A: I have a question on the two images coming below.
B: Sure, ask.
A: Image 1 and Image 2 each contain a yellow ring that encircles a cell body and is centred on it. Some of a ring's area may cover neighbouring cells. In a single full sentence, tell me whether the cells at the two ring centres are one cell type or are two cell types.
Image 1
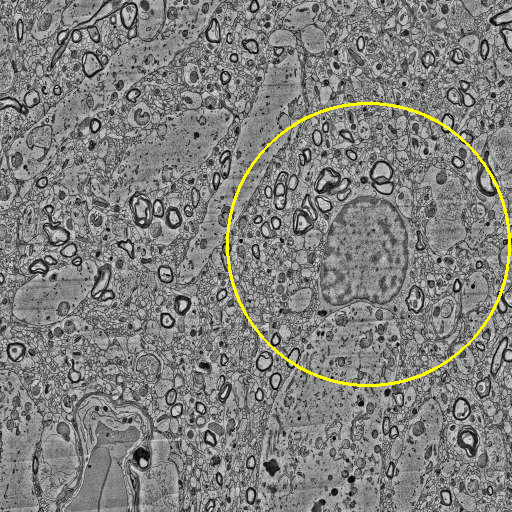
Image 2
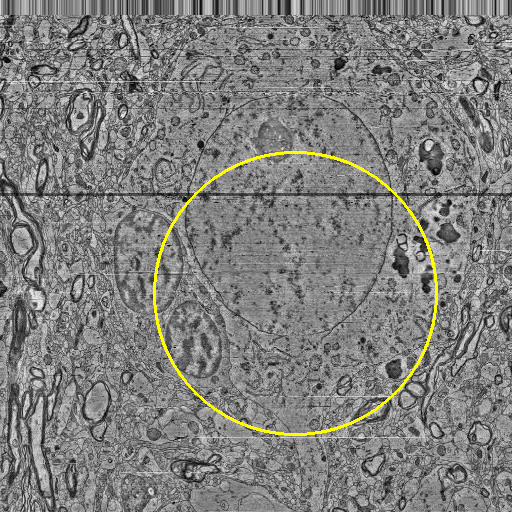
As for the ring-centre cells, the one in Image 1 and the one in Image 2 are two cell types.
